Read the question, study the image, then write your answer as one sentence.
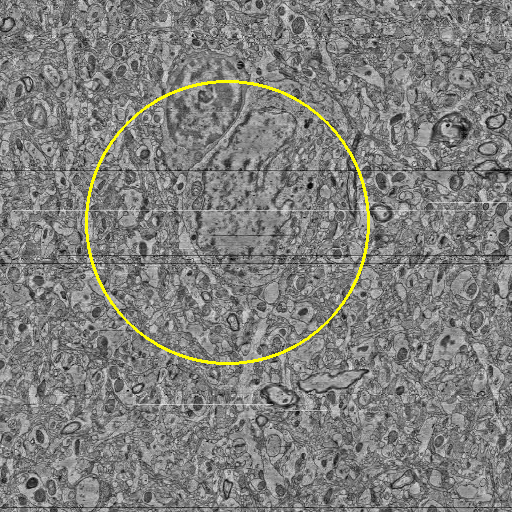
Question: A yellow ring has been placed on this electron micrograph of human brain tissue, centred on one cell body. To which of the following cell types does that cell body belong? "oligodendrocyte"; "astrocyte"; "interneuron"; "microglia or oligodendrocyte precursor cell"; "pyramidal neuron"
That cell body belongs to an interneuron.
